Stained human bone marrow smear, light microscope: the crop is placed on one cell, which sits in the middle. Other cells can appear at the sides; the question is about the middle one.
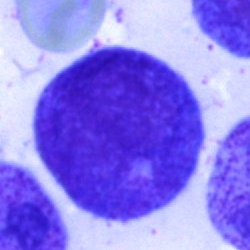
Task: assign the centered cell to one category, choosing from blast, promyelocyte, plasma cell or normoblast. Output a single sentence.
The cell at the middle of the frame should be recorded as a promyelocyte.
